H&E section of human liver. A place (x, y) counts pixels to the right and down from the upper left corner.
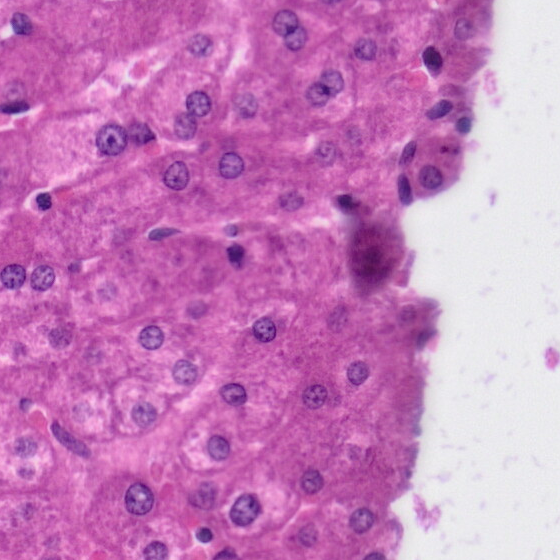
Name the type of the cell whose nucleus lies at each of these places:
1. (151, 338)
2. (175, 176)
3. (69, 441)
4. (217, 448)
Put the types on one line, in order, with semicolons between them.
hepatocyte; hepatocyte; Kupffer cell; hepatocyte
